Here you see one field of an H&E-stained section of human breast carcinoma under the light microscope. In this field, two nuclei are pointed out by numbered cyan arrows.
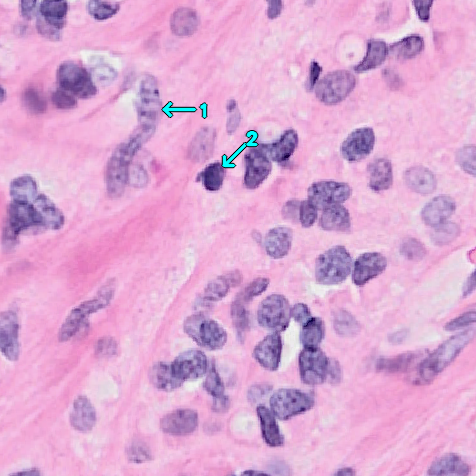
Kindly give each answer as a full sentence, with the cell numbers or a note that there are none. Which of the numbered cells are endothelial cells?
Cell 1 is an endothelial cell, and it is the only numbered cell that is.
